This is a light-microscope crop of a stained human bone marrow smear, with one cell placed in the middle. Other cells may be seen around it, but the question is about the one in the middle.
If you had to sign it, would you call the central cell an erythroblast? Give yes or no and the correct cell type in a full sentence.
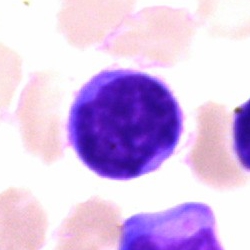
No, the cell in the middle is correctly named a lymphocyte, not an erythroblast.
